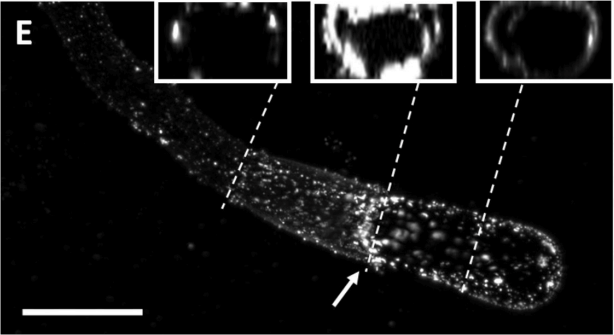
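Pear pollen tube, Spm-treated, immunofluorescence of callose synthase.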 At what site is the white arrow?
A: Neck region.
